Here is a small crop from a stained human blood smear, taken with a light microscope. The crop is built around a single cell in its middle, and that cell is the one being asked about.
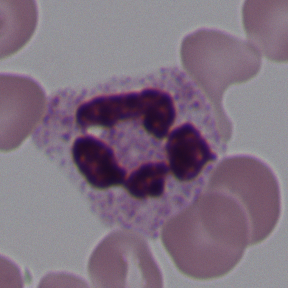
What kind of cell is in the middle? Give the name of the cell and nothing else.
segmented neutrophil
